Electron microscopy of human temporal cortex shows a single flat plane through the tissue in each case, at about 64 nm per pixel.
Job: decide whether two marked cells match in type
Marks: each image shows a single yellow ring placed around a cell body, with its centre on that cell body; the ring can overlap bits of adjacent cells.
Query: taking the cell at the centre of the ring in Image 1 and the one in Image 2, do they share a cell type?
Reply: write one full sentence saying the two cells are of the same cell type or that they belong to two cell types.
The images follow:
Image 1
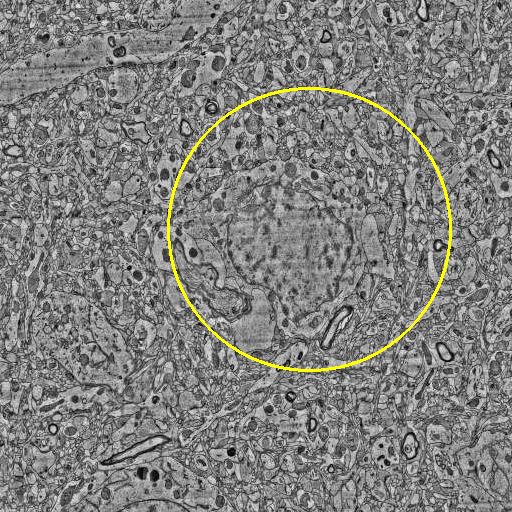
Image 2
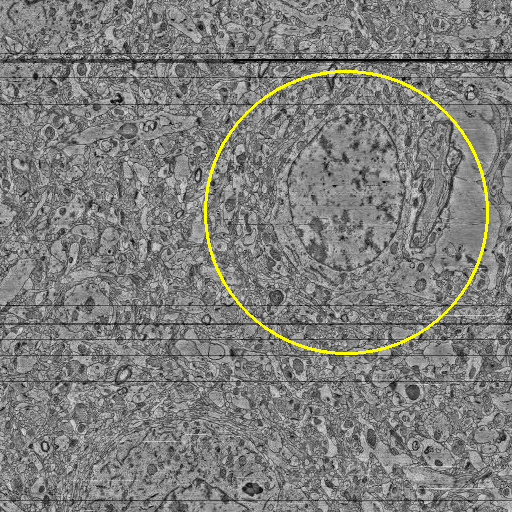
The cells at the ring centres in Image 1 and Image 2 belong to two cell types.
